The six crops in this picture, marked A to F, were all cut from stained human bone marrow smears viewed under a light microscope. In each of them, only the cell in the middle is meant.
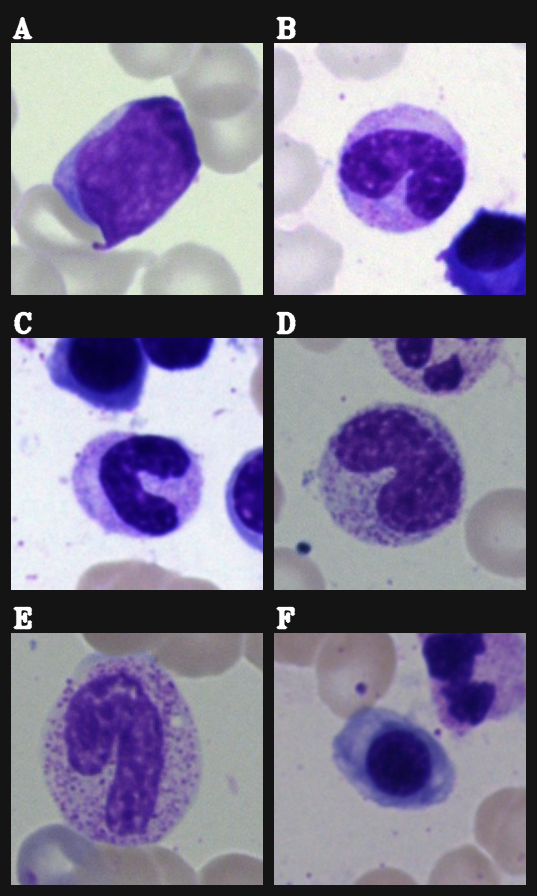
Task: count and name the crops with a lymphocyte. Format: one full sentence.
With no crop showing lymphocytes, the count comes to zero.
